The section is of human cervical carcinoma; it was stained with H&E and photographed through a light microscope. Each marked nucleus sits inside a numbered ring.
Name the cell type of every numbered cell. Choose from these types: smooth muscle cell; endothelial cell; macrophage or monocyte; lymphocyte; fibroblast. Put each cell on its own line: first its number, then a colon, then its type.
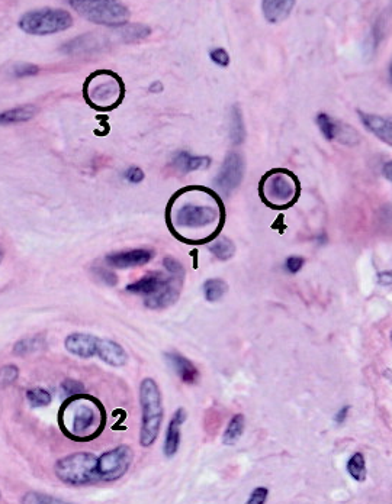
1: fibroblast
2: endothelial cell
3: smooth muscle cell
4: smooth muscle cell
